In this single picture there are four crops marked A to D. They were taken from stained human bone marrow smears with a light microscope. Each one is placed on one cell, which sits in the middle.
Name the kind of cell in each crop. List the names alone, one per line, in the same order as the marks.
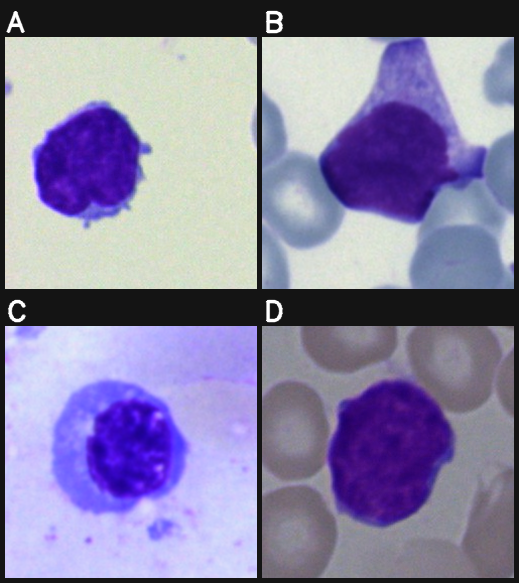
lymphocyte
lymphocyte
erythroblast
blast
